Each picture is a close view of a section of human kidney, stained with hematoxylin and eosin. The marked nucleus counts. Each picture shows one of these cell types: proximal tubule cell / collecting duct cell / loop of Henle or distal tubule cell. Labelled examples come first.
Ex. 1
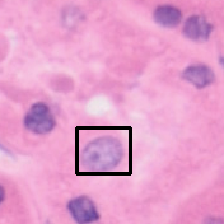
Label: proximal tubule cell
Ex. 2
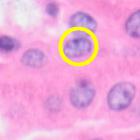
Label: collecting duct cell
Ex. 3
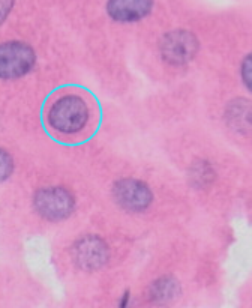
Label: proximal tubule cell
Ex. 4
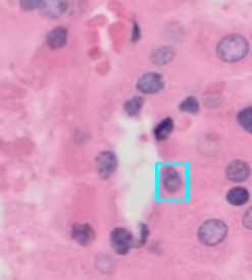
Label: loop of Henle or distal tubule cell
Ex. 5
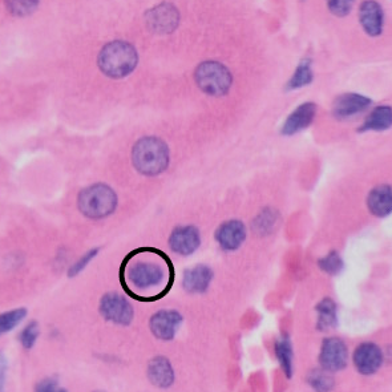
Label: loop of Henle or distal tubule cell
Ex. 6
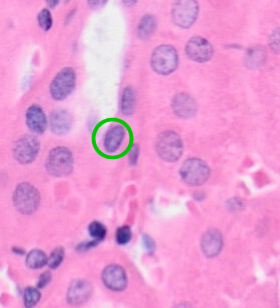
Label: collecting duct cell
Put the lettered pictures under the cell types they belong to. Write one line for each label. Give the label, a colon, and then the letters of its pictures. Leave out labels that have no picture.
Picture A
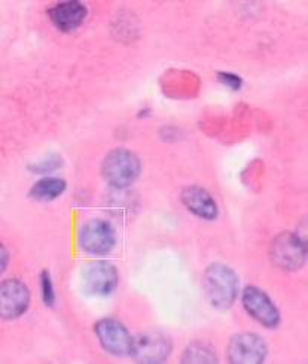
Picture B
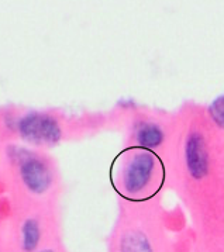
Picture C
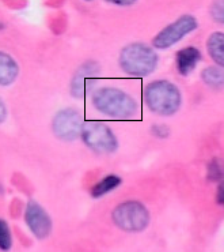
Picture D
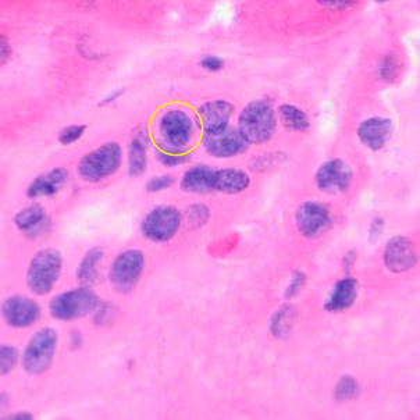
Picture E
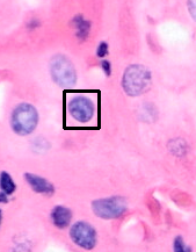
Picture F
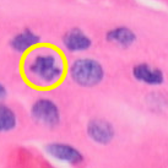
collecting duct cell: A, B, C, D, E
loop of Henle or distal tubule cell: F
